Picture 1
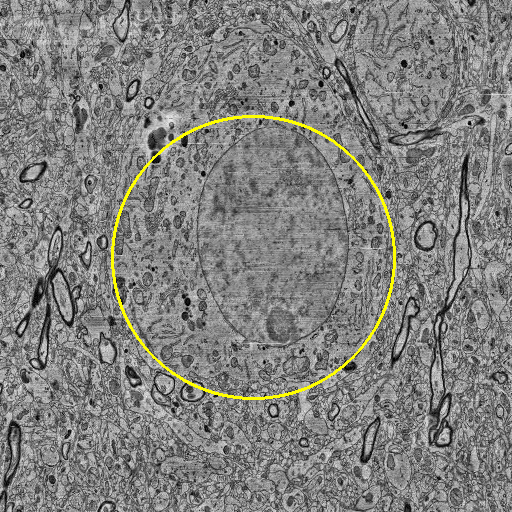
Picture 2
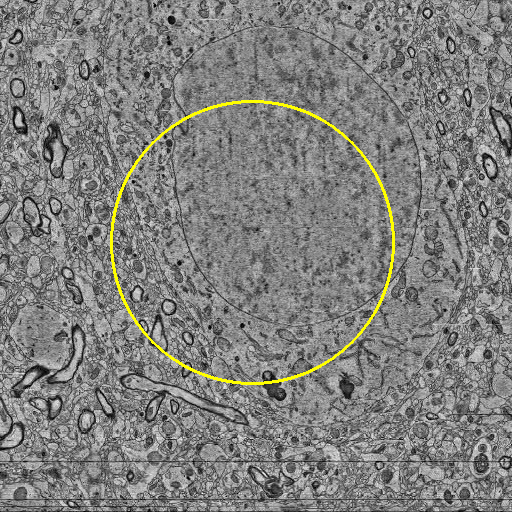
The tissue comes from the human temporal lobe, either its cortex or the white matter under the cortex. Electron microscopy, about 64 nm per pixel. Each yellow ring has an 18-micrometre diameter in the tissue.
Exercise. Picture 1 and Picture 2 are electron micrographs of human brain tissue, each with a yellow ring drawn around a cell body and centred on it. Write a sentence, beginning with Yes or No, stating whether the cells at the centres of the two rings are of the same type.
No, the cells at the centres of the rings are of two types.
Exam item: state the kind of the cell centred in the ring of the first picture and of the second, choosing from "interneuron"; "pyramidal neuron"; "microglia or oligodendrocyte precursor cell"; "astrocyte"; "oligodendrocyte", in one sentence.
The first picture shows an interneuron at the ring centre and the second shows a pyramidal neuron.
